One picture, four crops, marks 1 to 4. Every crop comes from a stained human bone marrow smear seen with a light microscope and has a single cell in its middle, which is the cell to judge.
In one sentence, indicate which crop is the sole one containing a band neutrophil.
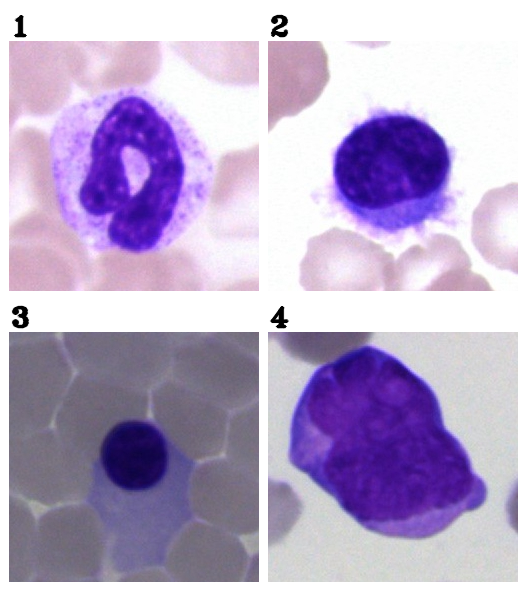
It is crop 1 that shows a band neutrophil.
